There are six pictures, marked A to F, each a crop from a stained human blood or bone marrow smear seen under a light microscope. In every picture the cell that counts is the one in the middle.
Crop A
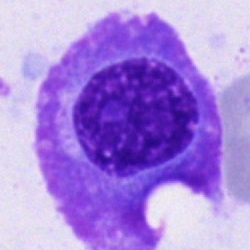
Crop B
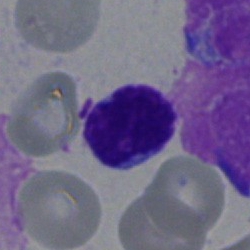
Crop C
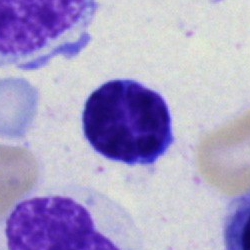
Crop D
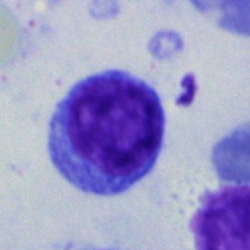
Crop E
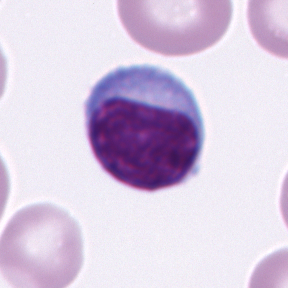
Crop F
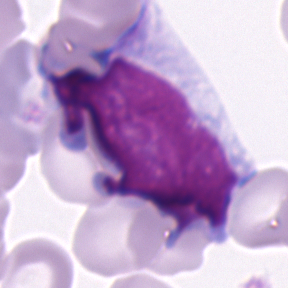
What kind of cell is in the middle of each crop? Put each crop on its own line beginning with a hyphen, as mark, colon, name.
- A: plasma cell
- B: lymphocyte
- C: lymphocyte
- D: lymphocyte
- E: lymphocyte
- F: lymphocyte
